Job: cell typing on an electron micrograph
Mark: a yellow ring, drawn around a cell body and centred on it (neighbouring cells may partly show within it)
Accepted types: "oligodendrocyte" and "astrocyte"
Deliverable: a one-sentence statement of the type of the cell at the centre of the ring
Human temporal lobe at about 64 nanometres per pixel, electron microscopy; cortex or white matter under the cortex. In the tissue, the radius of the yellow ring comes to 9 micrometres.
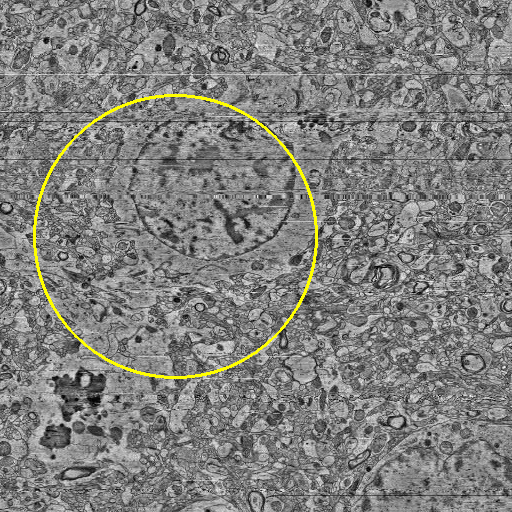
The centred cell body is that of an astrocyte.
